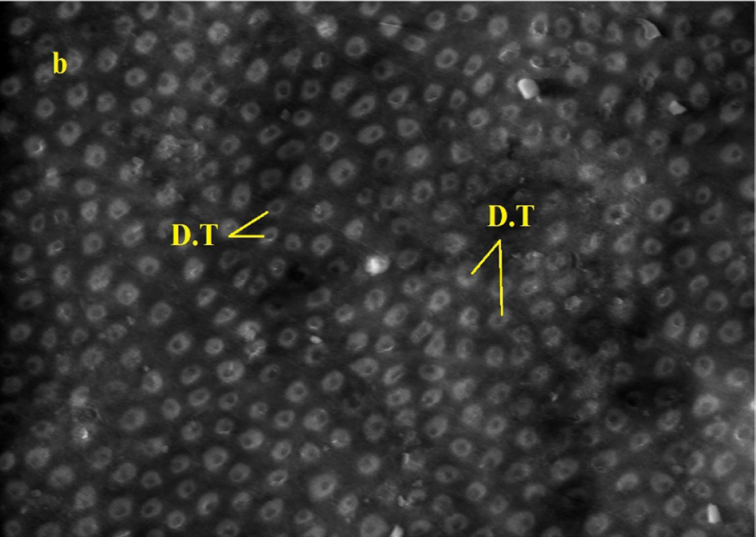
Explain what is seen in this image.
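This is a dentin surface seen by scanning electron microscopy. It is densely studded with small, round, open dentinal tubule orifices, each a dark central lumen ringed by a bright rim. The orifices are spread fairly evenly across a smooth intertubular surface that carries little debris.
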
